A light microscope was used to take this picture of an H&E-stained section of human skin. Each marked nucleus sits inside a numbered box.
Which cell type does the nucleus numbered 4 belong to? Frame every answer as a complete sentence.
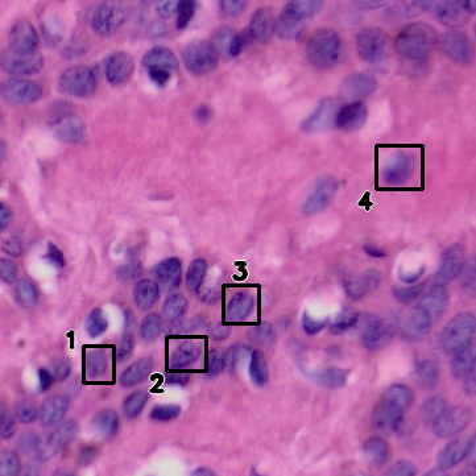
The marked nucleus 4 is that of a fibroblast.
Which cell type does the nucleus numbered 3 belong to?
Identified as a basal keratinocyte is the cell bearing the number 3.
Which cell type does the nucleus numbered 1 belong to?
Cell number 1 in this section is a basal keratinocyte.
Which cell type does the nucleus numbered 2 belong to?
Identified as a basal keratinocyte is the cell bearing the number 2.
